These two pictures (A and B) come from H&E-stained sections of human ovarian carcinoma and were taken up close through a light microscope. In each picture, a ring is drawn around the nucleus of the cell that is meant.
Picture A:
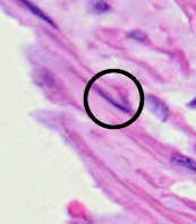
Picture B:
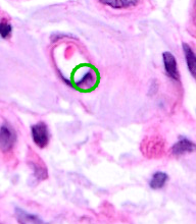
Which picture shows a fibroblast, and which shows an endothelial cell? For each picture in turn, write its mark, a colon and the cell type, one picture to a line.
A: fibroblast
B: endothelial cell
